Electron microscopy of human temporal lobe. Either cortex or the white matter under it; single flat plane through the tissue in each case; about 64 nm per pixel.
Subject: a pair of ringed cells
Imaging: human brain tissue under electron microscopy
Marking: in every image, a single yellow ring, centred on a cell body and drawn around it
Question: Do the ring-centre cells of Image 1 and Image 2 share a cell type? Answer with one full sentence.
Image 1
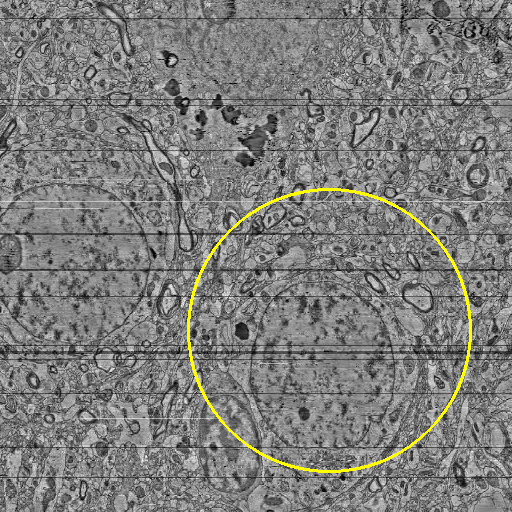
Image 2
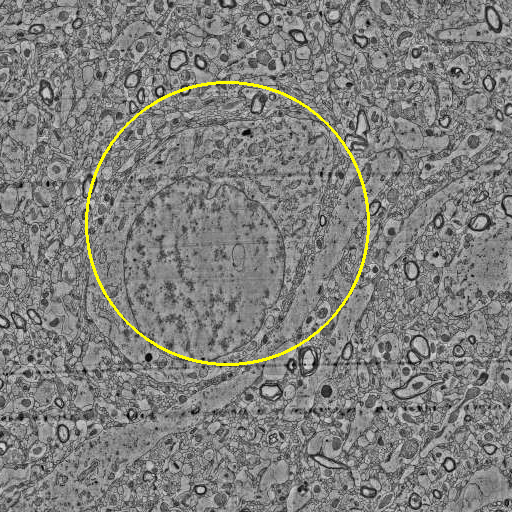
Yes, at each ring's centre in the images sits a cell of one common type.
